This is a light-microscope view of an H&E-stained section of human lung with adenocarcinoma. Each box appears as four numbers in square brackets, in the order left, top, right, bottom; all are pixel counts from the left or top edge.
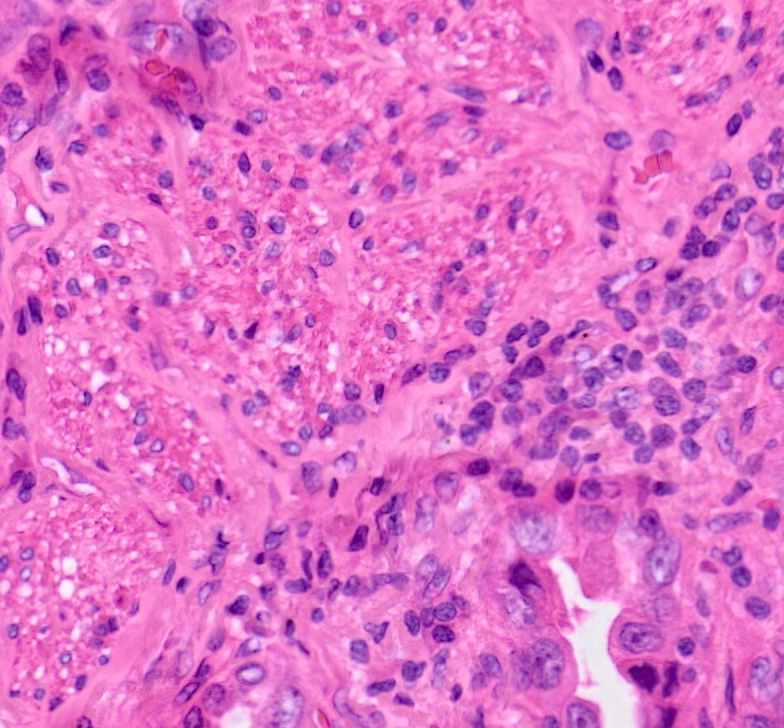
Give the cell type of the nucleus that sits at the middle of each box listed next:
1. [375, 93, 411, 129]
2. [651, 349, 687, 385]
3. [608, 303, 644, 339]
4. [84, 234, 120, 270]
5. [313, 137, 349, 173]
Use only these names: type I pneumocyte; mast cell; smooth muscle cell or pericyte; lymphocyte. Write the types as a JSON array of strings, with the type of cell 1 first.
["smooth muscle cell or pericyte", "lymphocyte", "mast cell", "smooth muscle cell or pericyte", "smooth muscle cell or pericyte"]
